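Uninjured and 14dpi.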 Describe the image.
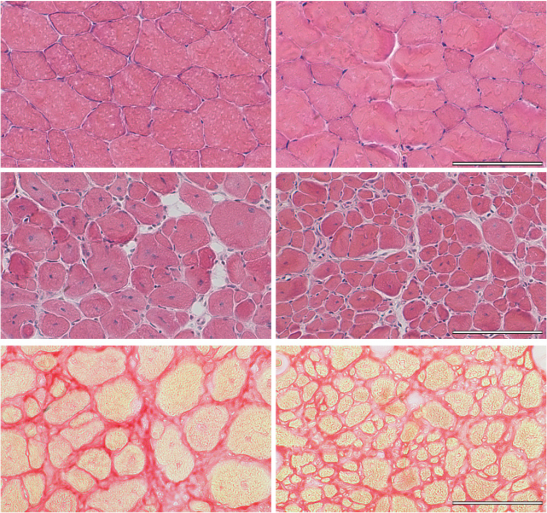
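These are cross-sections of skeletal muscle in which myofibers are cut transversely. In the top row the myofibers are large, polygonal and pink, tightly packed, with small flattened dark nuclei lying at their edges. In the middle row the fibers are smaller and much more varied in size, many are rounded, and several contain nuclei in their centre rather than at the edge; more small cells lie in the spaces between fibers. In the bottom row the fibers appear pale yellow, each surrounded by a red-stained rim of connective tissue, with broader red bands where spaces between fibers are wider. In the right-hand images of the lower rows the fibers are generally smaller and more numerous than in the left-hand images.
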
